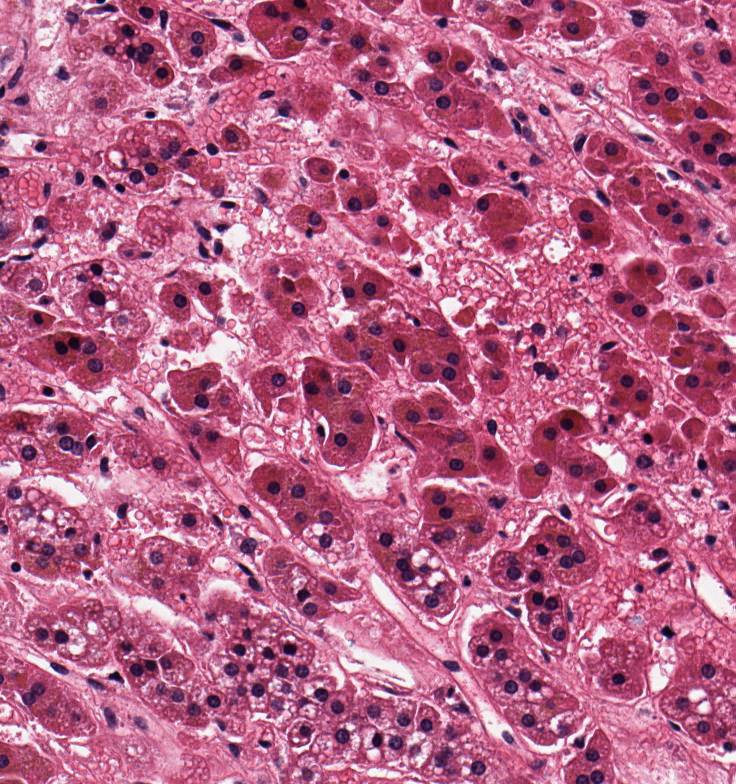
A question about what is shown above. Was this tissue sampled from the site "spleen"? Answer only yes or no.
no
